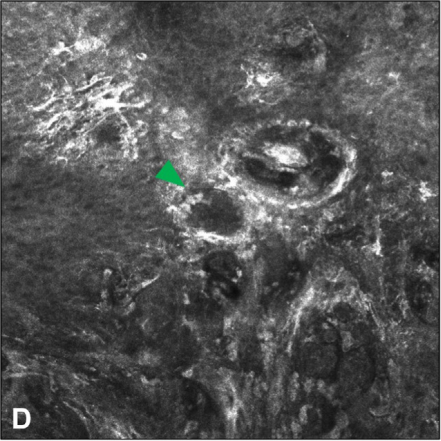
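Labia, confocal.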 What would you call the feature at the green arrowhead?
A: Partially-edged dermal papilla.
